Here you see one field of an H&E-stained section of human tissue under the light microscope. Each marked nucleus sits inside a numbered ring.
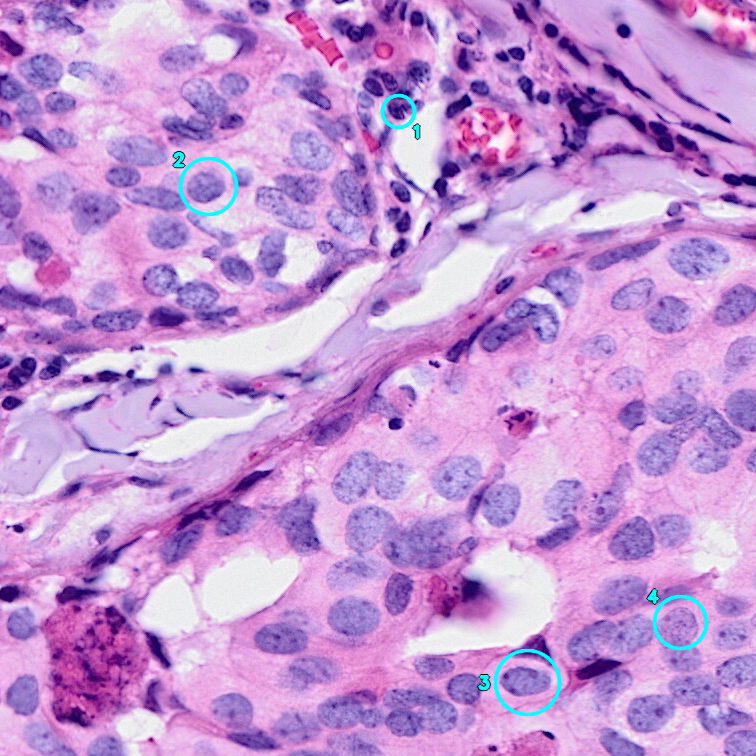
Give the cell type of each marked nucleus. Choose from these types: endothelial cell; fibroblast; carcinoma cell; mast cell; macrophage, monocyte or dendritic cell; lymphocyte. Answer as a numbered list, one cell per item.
1. lymphocyte
2. carcinoma cell
3. carcinoma cell
4. carcinoma cell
